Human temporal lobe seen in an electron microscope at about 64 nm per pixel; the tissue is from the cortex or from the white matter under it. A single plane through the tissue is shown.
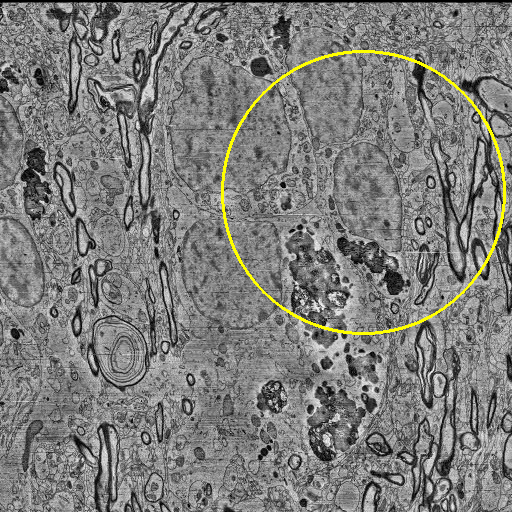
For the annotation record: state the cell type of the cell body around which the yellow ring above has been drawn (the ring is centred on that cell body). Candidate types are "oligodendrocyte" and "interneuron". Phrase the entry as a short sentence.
The ringed cell is an oligodendrocyte.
